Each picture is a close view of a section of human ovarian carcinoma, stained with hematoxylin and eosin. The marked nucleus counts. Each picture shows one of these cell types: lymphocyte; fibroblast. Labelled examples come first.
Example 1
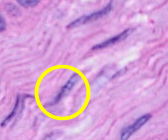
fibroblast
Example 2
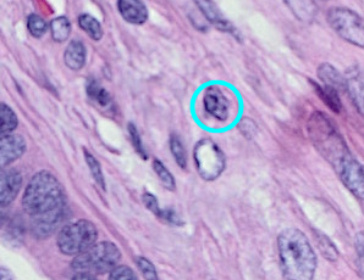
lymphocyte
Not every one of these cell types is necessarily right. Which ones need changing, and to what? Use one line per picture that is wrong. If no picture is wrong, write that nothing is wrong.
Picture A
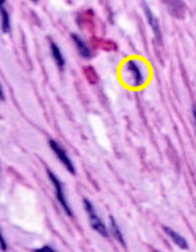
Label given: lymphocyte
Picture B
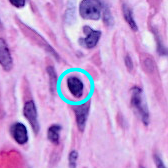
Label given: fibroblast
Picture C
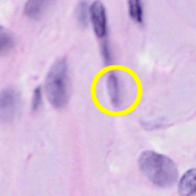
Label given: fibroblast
A: change lymphocyte to fibroblast
B: change fibroblast to lymphocyte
